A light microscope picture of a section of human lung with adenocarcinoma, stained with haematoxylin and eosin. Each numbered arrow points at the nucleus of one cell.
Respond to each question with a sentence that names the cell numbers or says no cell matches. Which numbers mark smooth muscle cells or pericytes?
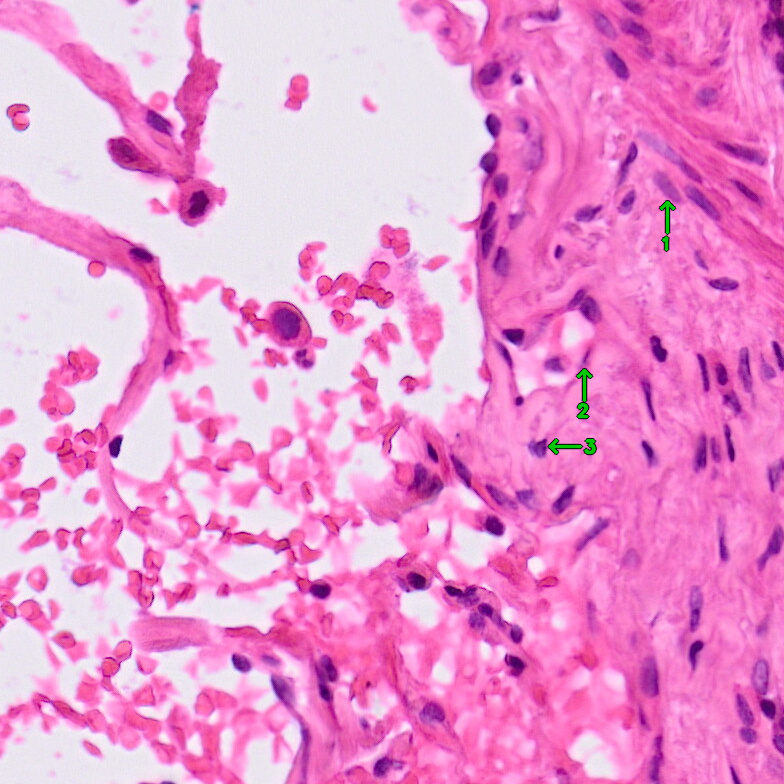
The nucleus labelled 1 alone belongs to a smooth muscle cell or pericyte; the other marked nuclei do not.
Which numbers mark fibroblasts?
Of the numbered cells, only cell 3 is a fibroblast.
